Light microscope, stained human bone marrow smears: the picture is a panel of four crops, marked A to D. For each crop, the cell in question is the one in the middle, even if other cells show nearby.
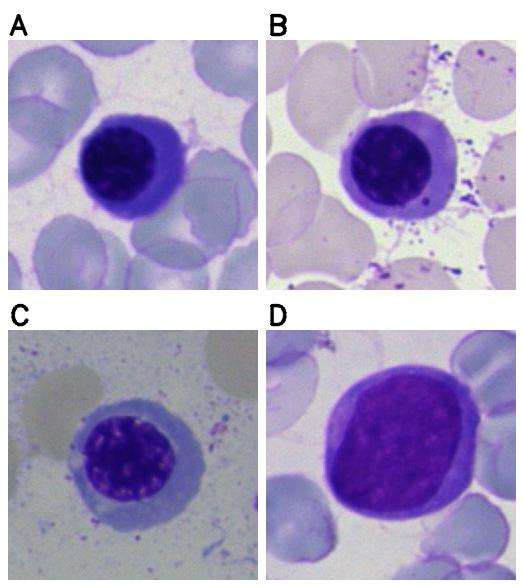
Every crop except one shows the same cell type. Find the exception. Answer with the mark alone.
D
